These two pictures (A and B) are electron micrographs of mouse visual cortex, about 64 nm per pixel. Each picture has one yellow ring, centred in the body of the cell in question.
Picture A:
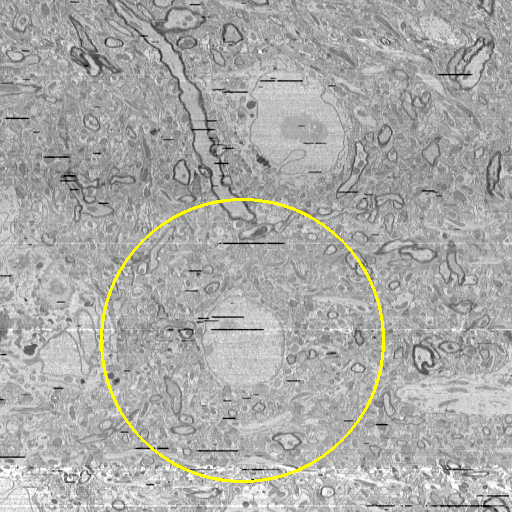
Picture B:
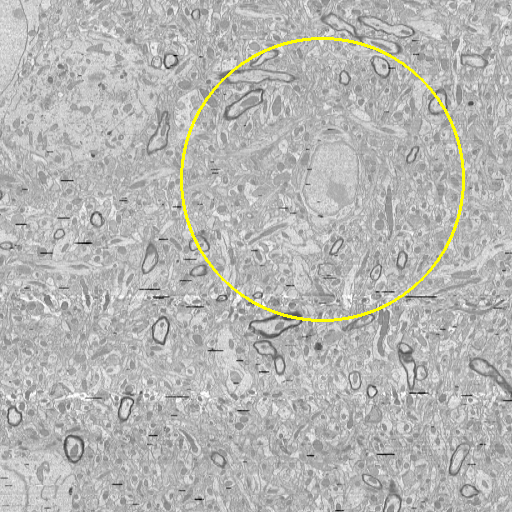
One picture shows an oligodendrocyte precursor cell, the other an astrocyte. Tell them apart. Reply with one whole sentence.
The cell in picture A is an astrocyte, and the one in picture B is an oligodendrocyte precursor cell.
